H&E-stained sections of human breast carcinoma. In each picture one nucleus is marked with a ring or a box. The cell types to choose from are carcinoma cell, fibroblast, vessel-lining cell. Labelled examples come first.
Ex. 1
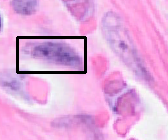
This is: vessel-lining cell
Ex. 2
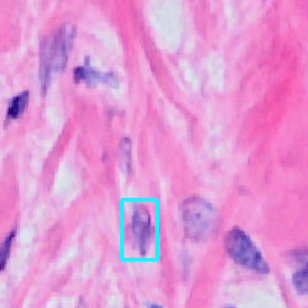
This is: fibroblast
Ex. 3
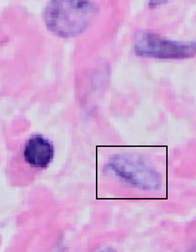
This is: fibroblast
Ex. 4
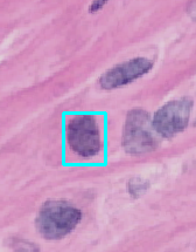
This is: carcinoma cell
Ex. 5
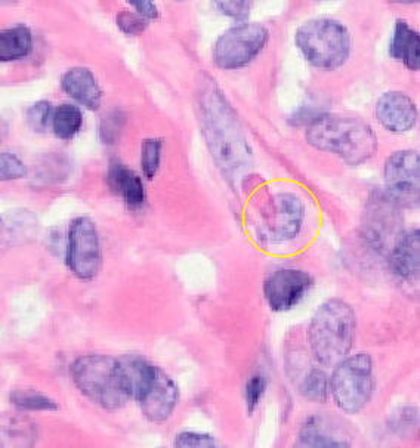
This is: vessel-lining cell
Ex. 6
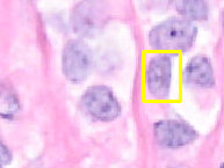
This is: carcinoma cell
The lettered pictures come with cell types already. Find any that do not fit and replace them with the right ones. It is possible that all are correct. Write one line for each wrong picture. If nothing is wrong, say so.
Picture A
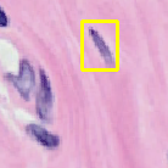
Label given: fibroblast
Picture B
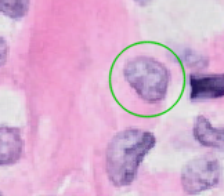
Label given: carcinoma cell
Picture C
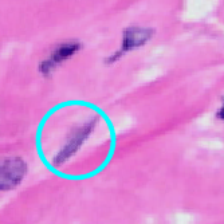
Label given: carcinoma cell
C is labelled carcinoma cell; correct label: fibroblast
